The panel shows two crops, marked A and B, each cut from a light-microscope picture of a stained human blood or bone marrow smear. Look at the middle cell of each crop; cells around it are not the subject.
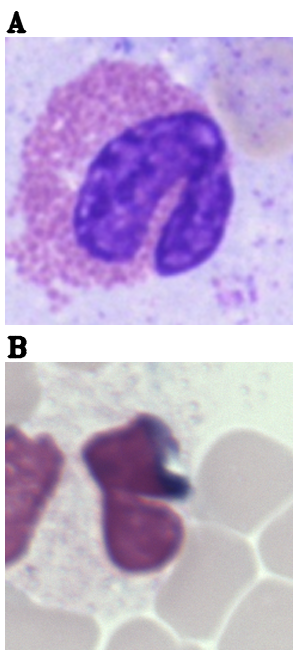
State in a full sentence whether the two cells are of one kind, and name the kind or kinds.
No, crop A is to be identified as an eosinophil and crop B as a segmented neutrophil.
